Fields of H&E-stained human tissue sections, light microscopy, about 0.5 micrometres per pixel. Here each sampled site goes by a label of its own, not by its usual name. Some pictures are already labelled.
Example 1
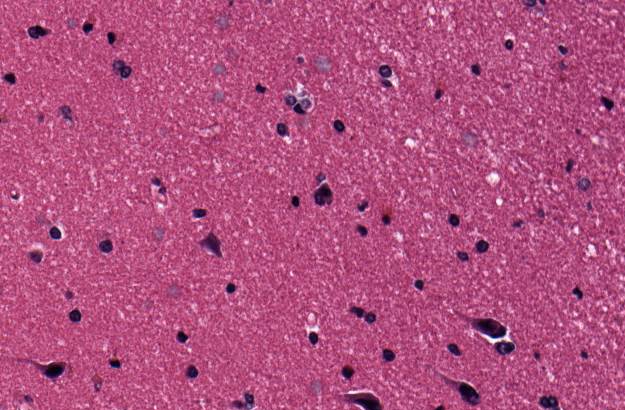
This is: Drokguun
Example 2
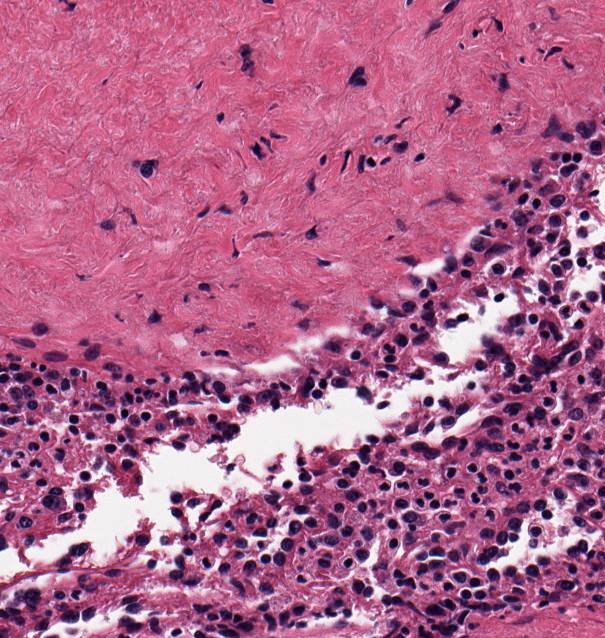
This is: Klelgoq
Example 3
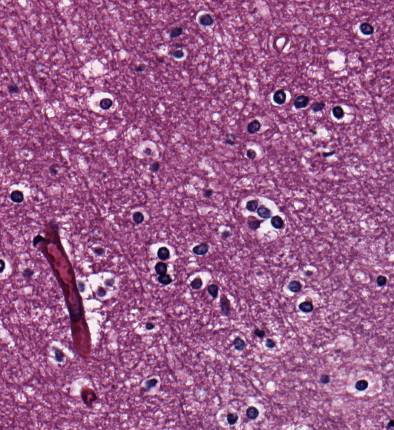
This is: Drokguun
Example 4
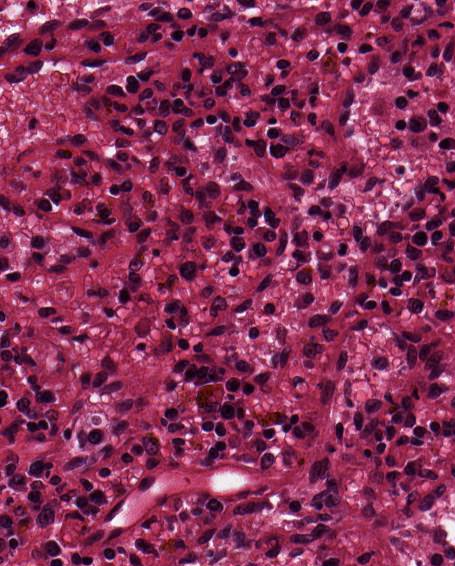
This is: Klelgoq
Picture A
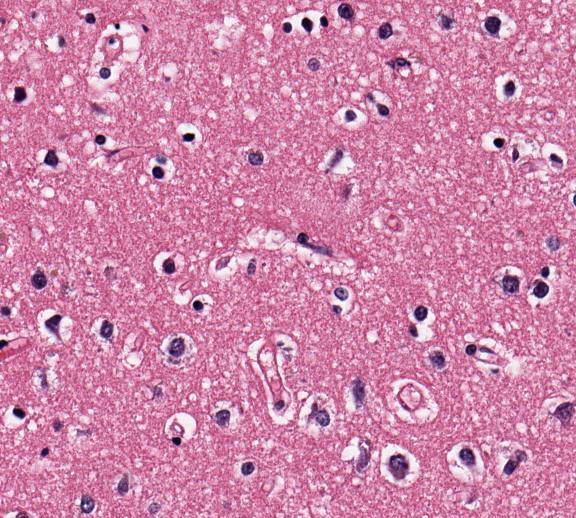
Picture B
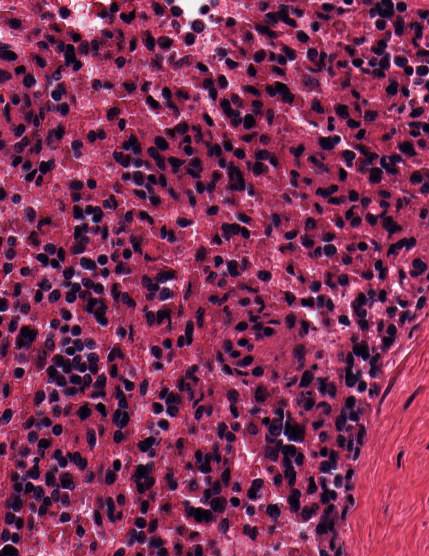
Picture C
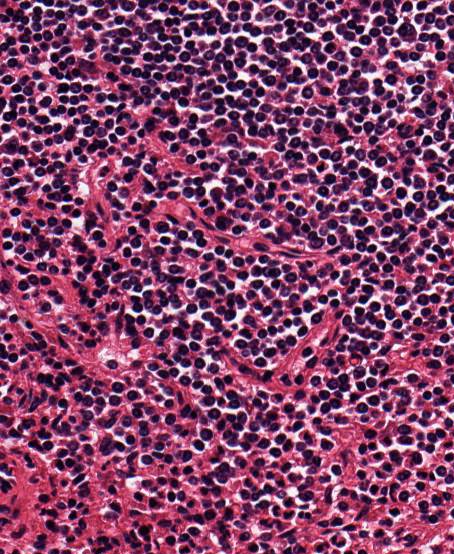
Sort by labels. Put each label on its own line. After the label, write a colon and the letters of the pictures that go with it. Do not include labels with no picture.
Drokguun: A
Klelgoq: B, C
